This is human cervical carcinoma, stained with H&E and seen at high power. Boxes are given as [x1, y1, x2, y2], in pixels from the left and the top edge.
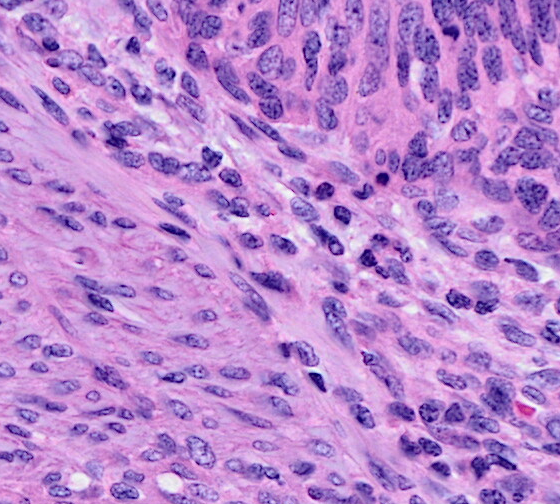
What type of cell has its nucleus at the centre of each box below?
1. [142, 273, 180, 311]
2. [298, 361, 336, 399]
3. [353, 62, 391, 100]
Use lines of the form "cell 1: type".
cell 1: smooth muscle cell
cell 2: lymphocyte
cell 3: squamous carcinoma cell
